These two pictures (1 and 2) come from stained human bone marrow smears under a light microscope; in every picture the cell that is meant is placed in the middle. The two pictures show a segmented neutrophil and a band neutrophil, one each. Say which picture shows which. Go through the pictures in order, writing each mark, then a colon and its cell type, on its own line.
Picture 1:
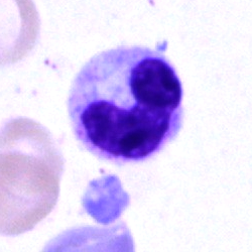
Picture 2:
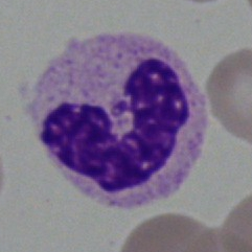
1: band neutrophil
2: segmented neutrophil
